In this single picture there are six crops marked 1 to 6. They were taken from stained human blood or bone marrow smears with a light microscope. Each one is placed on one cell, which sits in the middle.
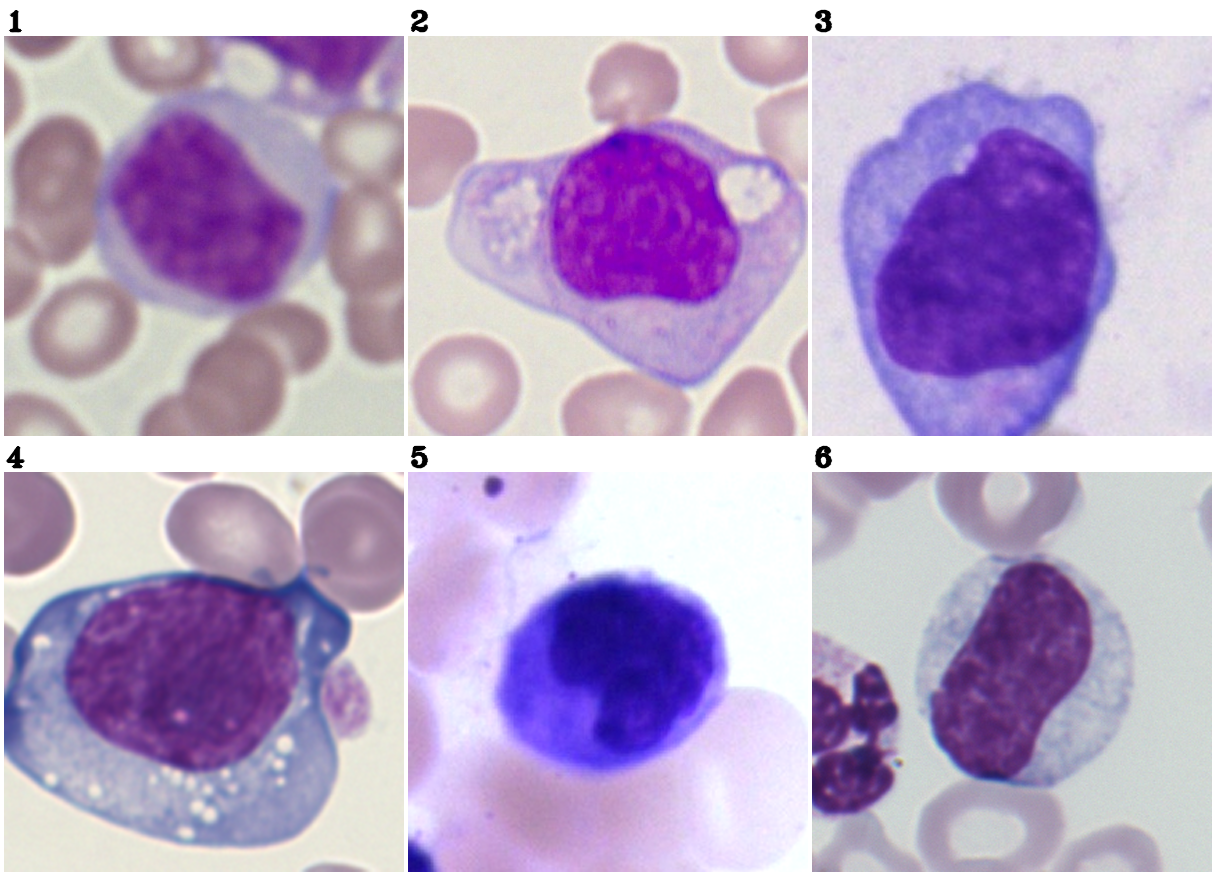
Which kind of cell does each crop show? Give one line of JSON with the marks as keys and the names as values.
{"1": "monocyte", "2": "monocyte", "3": "blast", "4": "blast", "5": "monocyte", "6": "monocyte"}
